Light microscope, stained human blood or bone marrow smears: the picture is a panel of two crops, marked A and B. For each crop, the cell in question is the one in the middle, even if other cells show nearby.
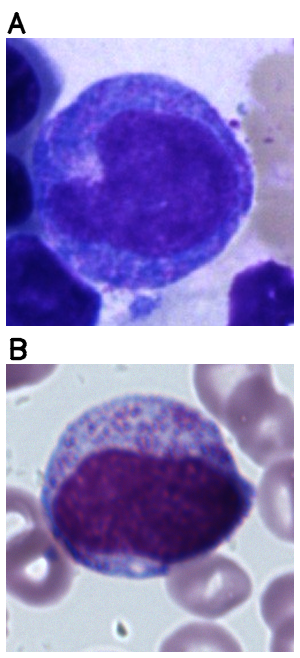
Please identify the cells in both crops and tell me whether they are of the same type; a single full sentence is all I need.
Yes, the cells centred in the two crops are both promyelocytes.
